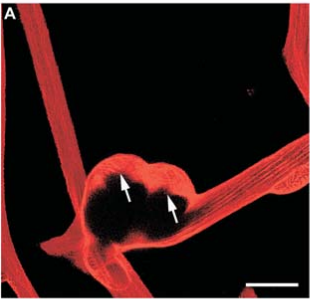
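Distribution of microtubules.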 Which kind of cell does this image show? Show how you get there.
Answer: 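Long, unbranched, cylindrical fibres cross the field. Fine longitudinal striations run along the fibres. That points to this answer: myofiber.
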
